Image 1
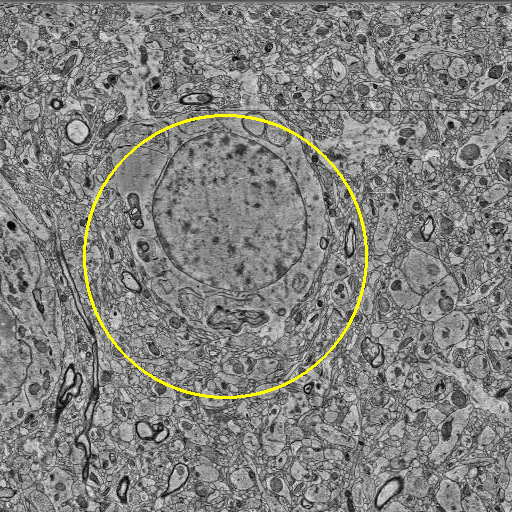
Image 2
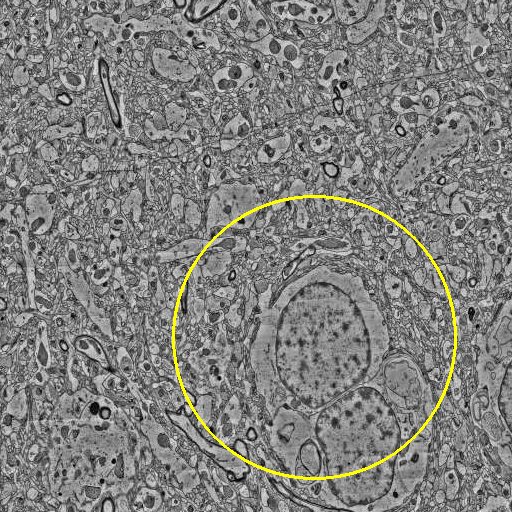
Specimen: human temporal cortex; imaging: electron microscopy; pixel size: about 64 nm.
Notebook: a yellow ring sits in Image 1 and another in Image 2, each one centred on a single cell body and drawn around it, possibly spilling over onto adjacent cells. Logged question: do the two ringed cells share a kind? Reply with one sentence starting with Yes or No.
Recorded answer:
Yes, both centre cells inside the rings of Image 1 and Image 2 share one kind.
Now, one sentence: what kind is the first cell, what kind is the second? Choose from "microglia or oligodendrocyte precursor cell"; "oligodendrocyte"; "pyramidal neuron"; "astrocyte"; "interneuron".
The cell at the ring centre is an astrocyte in both pictures.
